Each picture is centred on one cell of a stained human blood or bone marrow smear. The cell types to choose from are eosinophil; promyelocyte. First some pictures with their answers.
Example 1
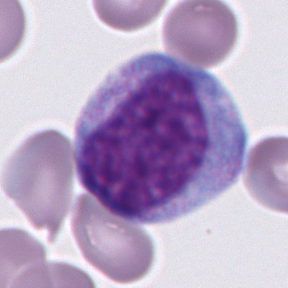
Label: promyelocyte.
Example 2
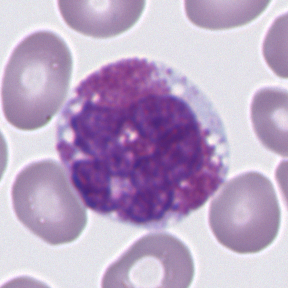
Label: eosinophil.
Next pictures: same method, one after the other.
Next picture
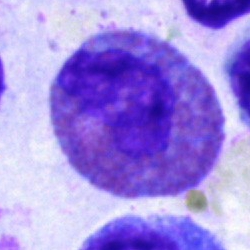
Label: eosinophil.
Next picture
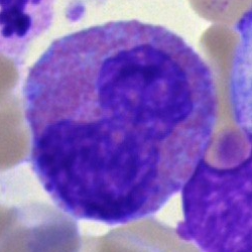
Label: eosinophil.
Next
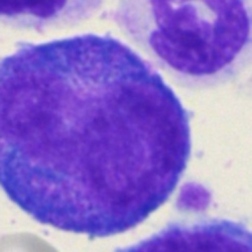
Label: promyelocyte.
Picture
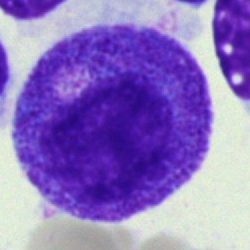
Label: promyelocyte.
